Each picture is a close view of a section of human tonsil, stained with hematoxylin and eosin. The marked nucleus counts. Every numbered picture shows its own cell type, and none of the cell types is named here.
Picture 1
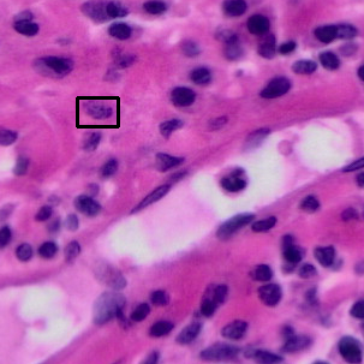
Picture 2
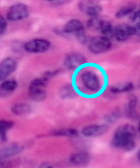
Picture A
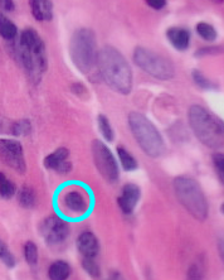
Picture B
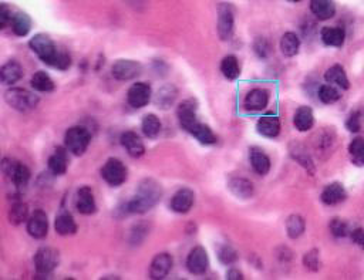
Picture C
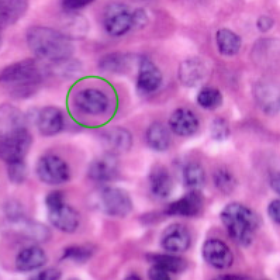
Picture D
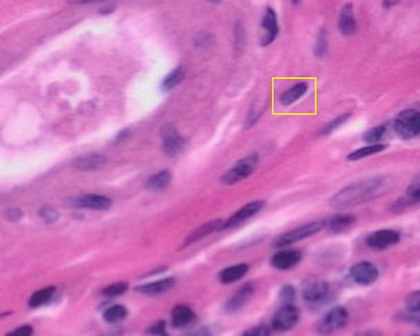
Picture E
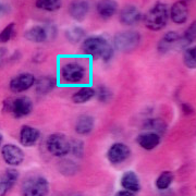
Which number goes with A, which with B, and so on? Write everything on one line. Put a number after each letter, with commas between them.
A 1, B 2, C 2, D 1, E 2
